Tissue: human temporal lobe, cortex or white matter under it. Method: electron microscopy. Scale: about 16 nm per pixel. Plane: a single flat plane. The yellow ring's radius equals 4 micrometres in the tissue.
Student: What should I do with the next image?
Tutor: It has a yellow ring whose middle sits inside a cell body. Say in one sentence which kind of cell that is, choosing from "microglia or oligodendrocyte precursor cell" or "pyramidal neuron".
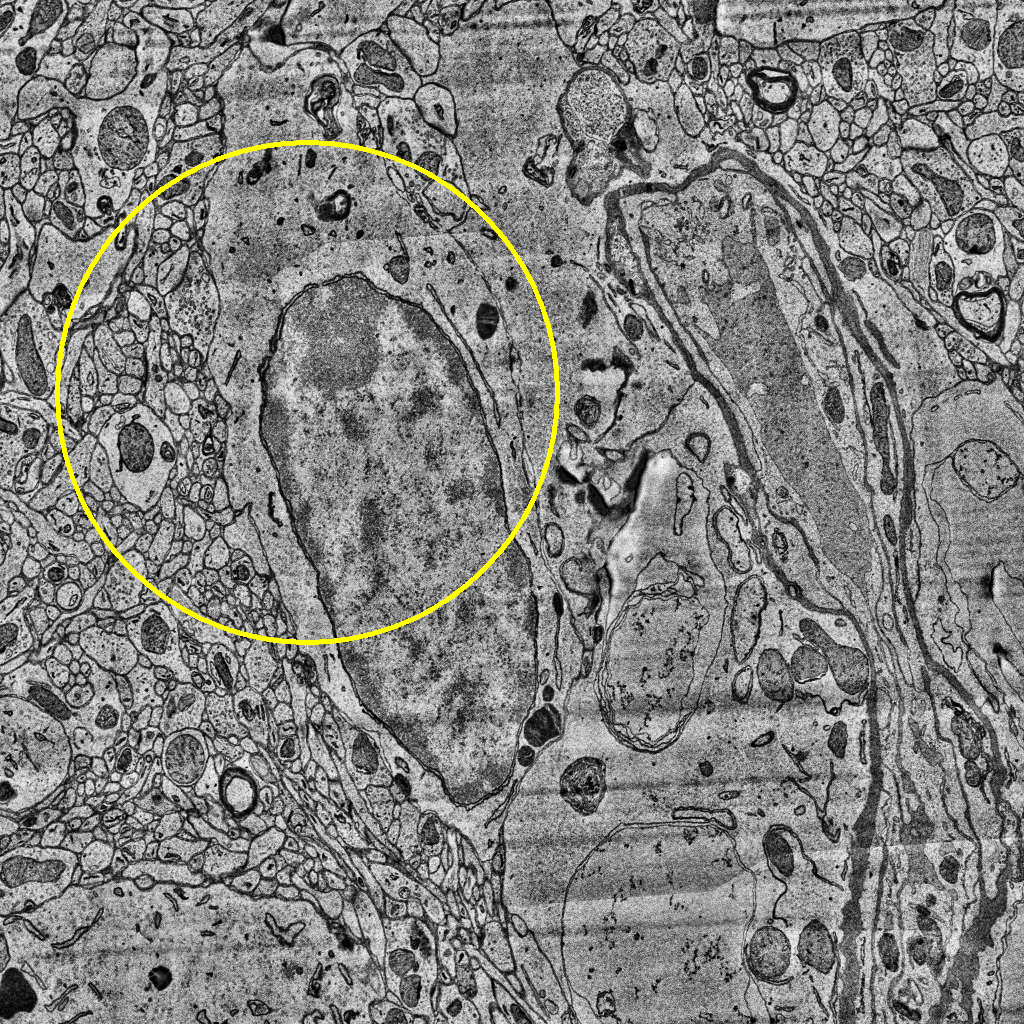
The ring's centre is occupied by a microglial cell or oligodendrocyte precursor cell.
